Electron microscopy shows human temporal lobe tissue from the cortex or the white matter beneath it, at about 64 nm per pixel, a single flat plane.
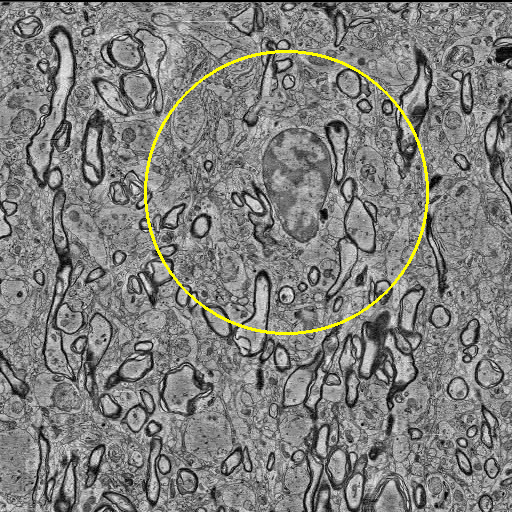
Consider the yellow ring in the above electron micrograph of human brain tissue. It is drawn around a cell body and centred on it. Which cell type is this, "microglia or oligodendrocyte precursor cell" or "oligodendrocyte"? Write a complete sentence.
The cell in question is a microglial cell or oligodendrocyte precursor cell.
